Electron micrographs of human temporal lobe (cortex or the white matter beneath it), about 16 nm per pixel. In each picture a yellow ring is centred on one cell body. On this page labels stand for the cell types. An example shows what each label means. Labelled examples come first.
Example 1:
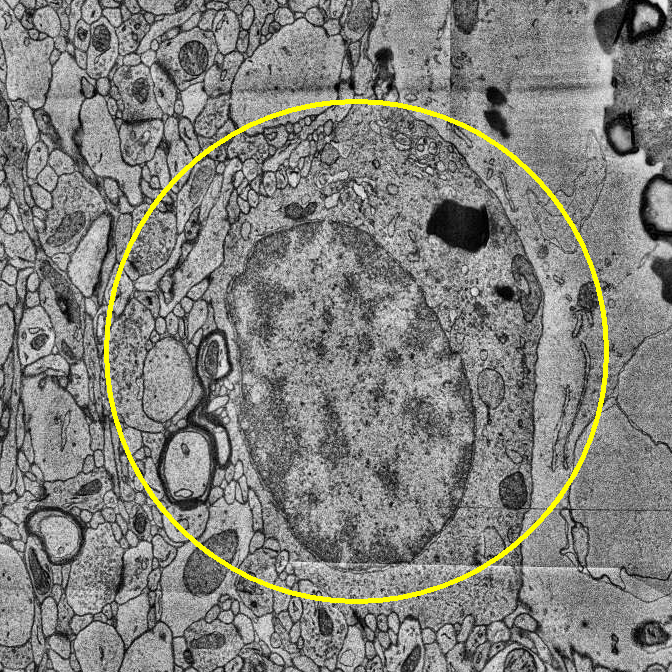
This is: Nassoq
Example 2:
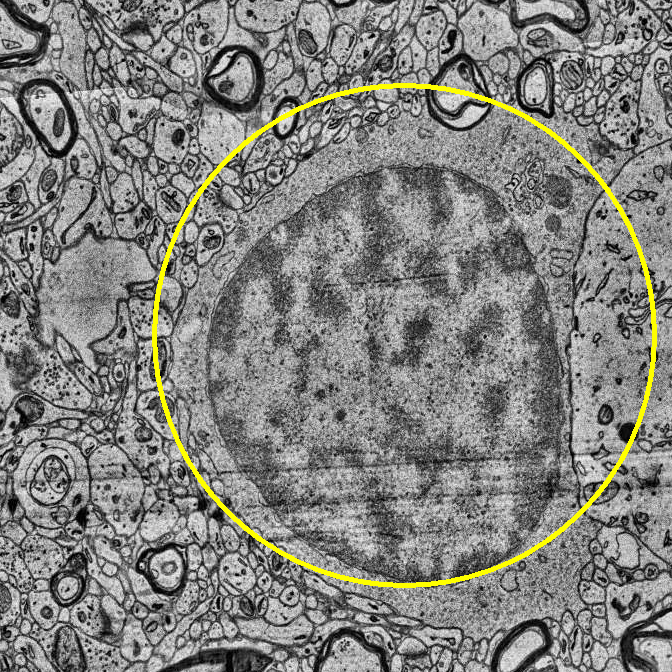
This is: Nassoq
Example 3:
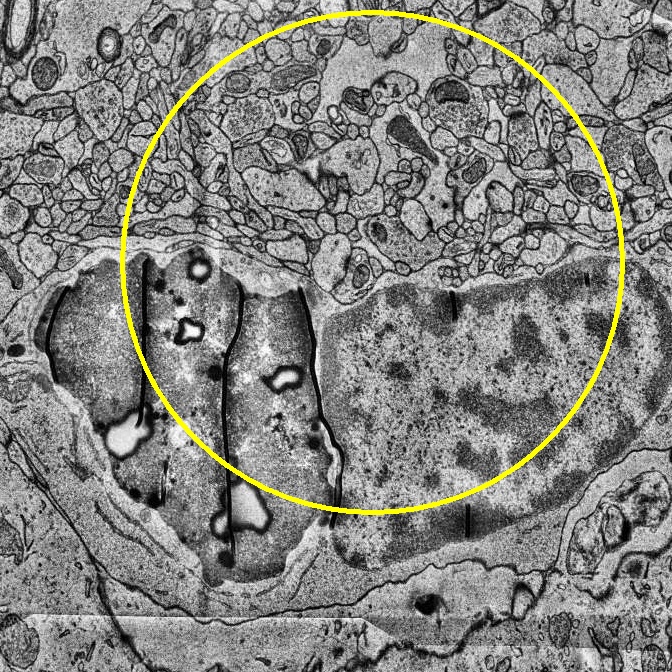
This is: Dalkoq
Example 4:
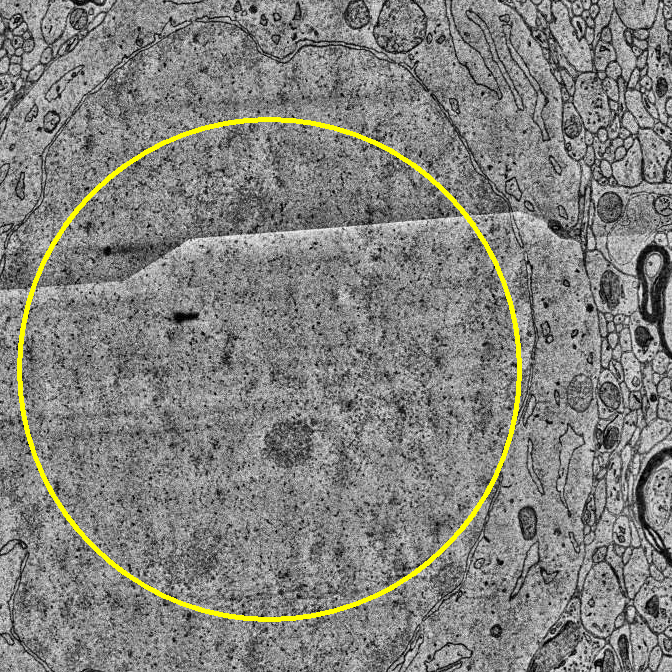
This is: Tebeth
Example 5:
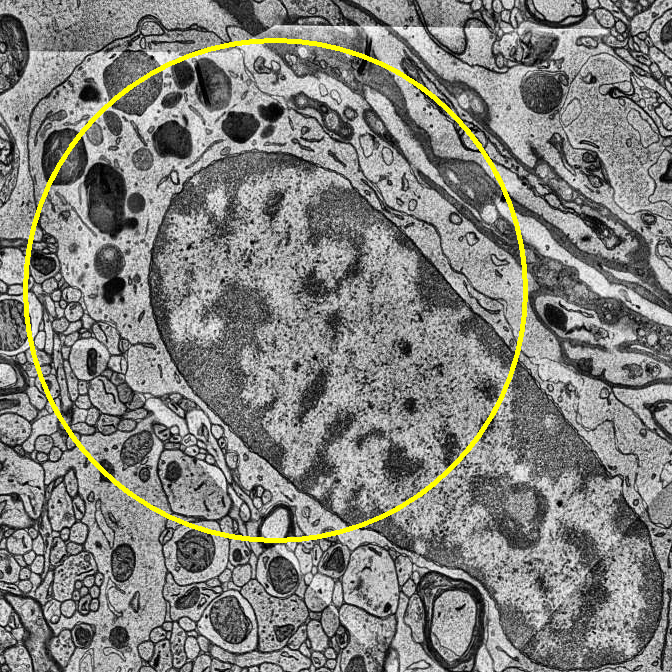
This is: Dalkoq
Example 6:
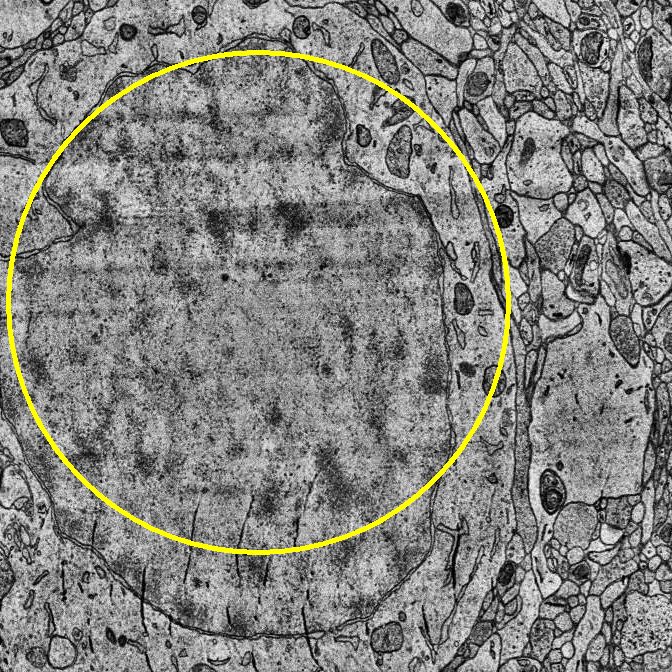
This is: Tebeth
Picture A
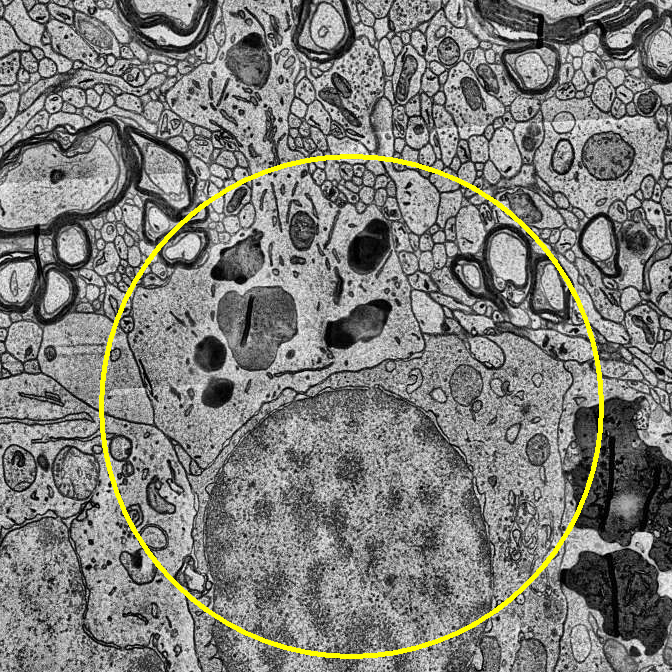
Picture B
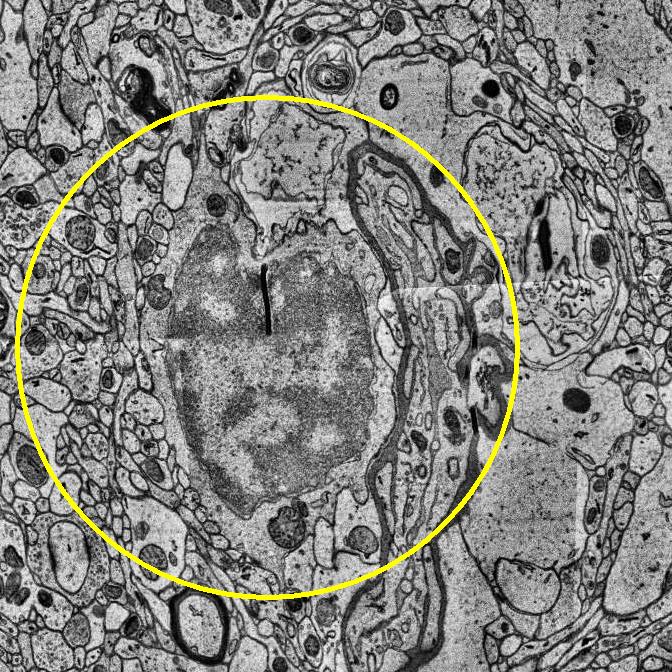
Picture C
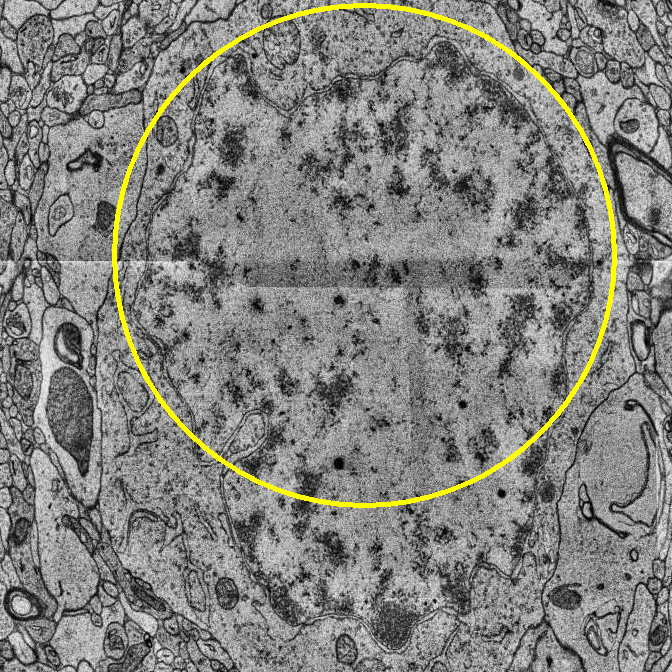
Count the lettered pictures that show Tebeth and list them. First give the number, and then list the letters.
Count: 1 (C)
